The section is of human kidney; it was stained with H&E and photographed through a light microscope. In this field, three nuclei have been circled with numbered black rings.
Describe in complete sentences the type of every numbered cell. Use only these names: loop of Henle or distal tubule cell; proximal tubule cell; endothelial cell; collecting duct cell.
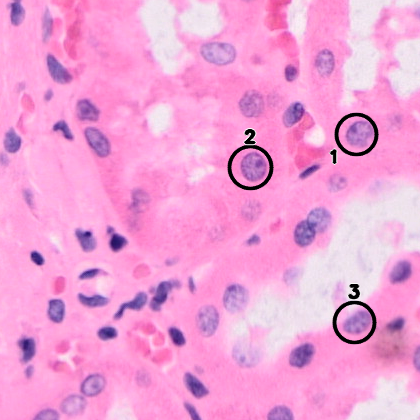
Cells 1 and 2 are proximal tubule cells. Cell 3 is a loop of Henle or distal tubule cell.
